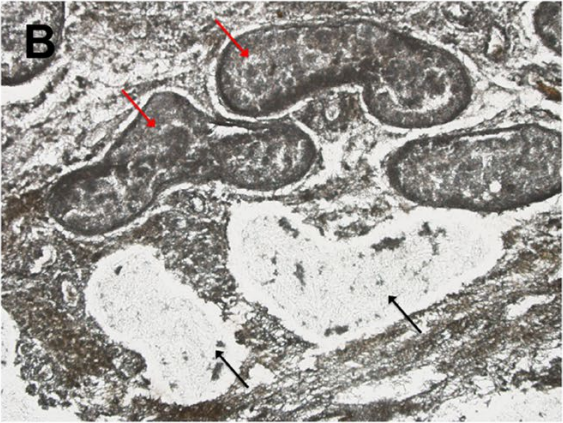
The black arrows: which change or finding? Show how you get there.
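The black arrows point to pale, almost empty areas shaped like tubules. Only scattered fragments of material remain within these areas. The surrounding tissue and neighbouring tubules stay dark. On this evidence: captured.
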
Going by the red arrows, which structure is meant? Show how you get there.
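The red arrows point to dark, rounded, elongated structures with a distinct rim. These structures are filled with dense material and are not cleared. So: intact tubules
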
